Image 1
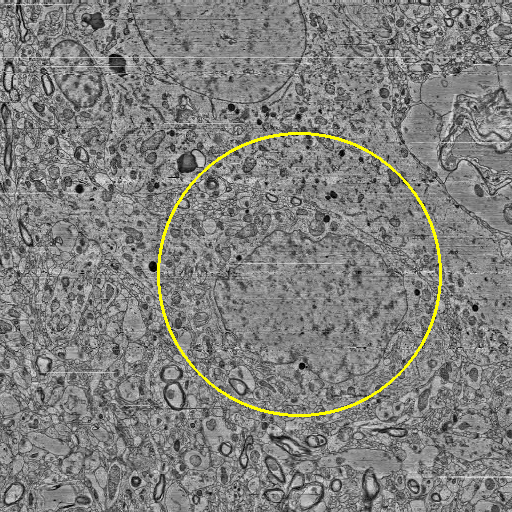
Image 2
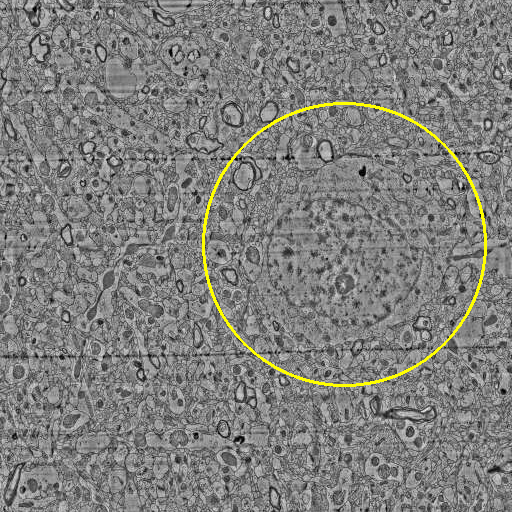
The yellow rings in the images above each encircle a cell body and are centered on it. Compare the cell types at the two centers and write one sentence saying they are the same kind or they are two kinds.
Taken together, the two cells at the ring centers are the same kind.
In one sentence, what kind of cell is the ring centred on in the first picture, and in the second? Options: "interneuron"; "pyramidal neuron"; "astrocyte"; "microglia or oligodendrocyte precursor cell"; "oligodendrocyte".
Each of the two pictures has an interneuron at the ring centre.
